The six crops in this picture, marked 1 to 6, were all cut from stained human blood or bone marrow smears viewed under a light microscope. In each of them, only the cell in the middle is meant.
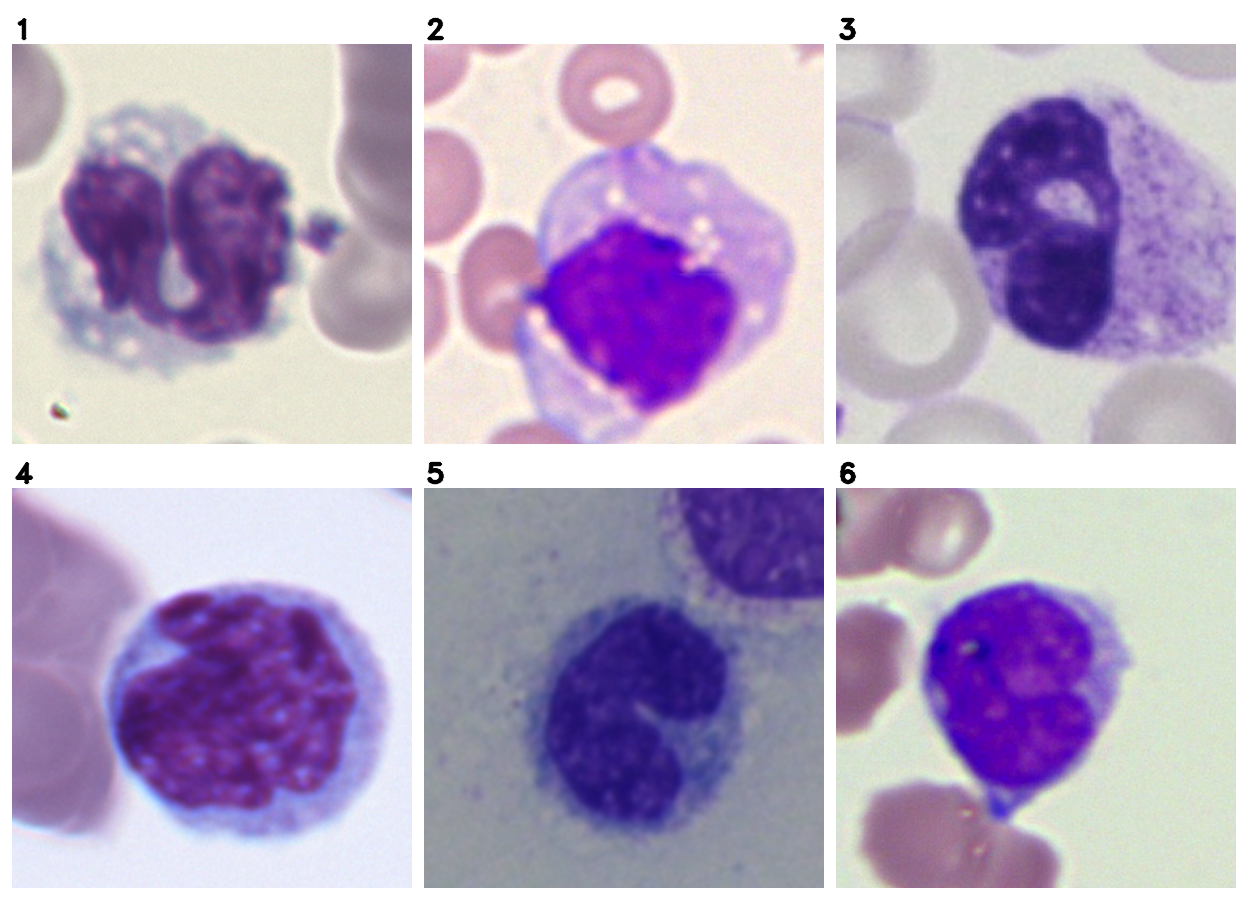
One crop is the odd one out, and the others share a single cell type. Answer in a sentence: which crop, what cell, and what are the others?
Crop 3 alone shows a neutrophil; the other crops are all monocytes.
